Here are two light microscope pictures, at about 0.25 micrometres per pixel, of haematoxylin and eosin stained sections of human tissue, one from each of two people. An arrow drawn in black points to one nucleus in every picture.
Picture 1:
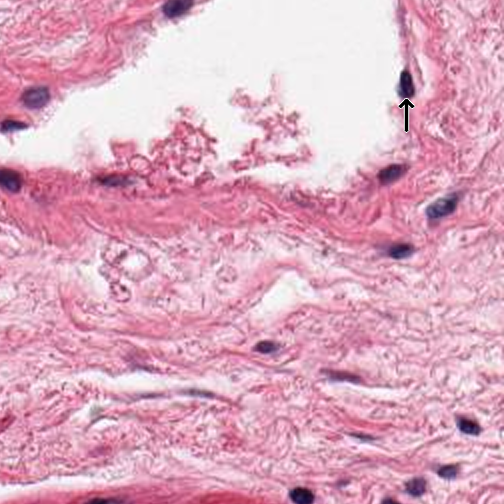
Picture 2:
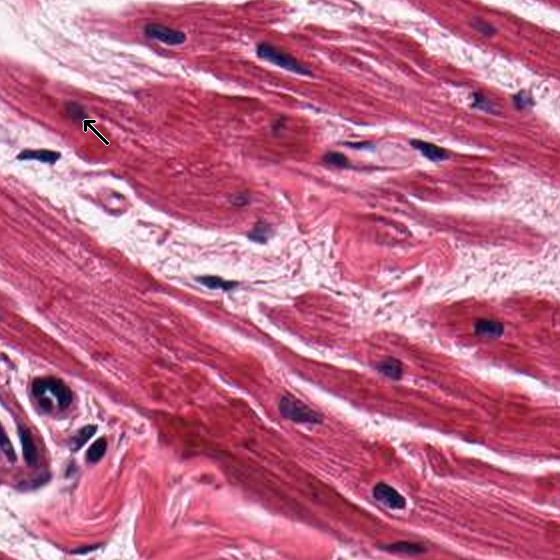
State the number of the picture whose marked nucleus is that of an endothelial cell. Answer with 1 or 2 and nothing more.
1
